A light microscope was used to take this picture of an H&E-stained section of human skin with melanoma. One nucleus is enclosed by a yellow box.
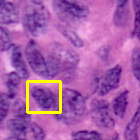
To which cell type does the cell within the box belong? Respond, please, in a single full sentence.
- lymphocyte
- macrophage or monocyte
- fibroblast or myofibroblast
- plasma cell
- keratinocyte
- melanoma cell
Typologically, the cell within the box is a melanoma cell in this section.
